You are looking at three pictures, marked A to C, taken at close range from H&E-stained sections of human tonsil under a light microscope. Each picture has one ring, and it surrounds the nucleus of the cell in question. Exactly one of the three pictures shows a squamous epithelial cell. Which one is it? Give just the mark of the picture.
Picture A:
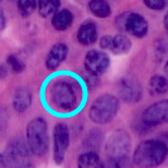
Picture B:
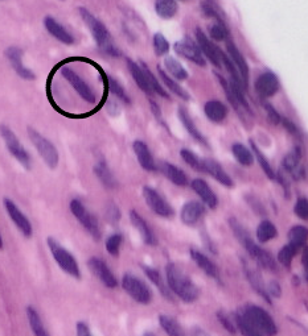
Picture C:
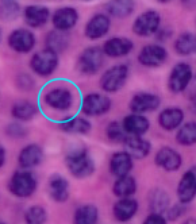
B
